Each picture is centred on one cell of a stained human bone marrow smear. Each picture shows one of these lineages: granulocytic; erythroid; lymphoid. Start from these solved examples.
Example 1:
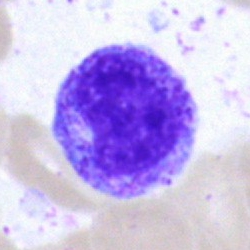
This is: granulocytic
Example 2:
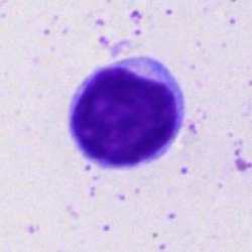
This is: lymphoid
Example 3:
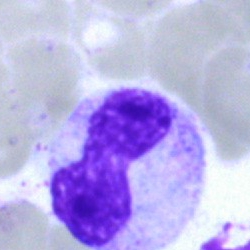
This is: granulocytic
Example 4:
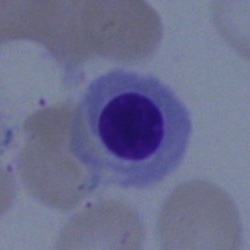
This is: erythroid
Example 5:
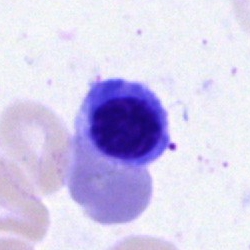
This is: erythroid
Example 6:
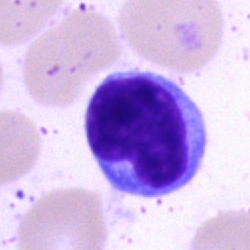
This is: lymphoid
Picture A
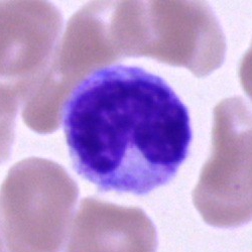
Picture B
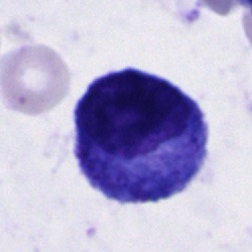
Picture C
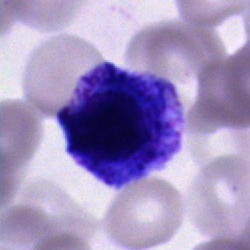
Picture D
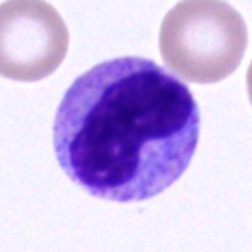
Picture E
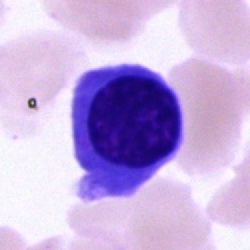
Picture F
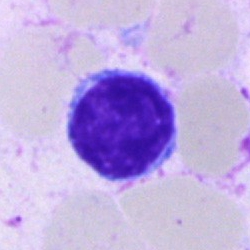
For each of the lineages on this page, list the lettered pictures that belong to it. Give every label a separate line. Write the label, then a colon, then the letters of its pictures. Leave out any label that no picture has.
granulocytic: A, B, C, D
lymphoid: E, F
